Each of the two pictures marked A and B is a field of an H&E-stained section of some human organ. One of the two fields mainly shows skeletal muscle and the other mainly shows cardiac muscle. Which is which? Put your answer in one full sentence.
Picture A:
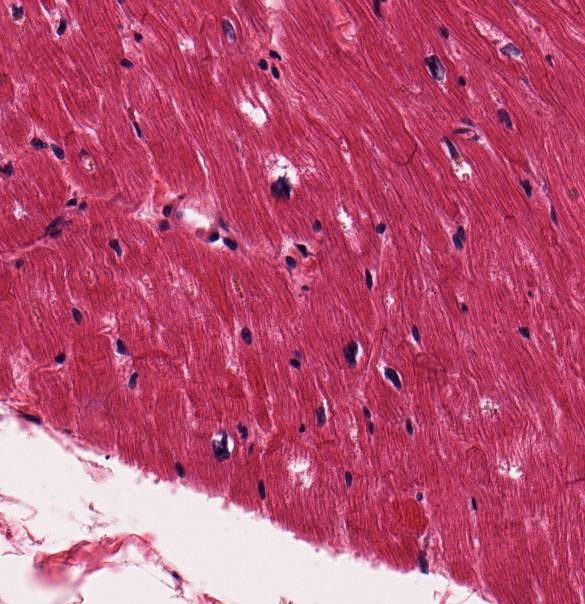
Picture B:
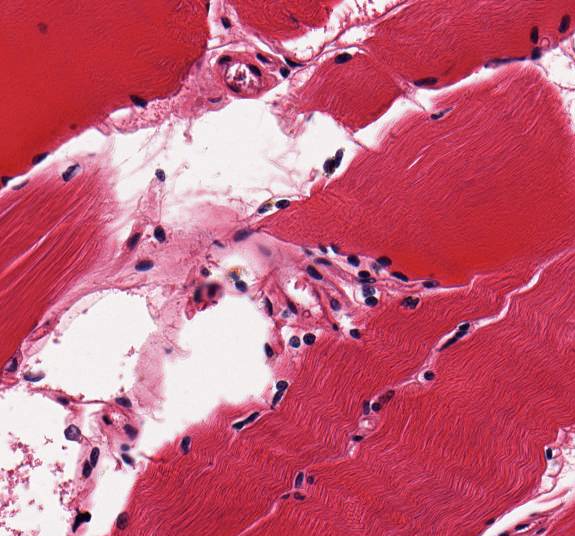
Picture A mainly shows cardiac muscle and picture B mainly shows skeletal muscle.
